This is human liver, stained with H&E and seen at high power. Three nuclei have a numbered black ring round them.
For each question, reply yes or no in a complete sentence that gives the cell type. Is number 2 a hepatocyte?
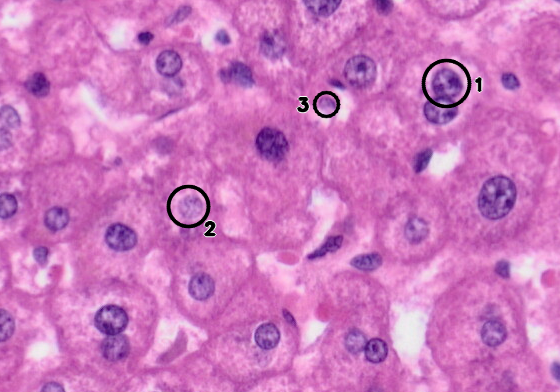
Yes, the cell that is numbered 2 is a hepatocyte.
